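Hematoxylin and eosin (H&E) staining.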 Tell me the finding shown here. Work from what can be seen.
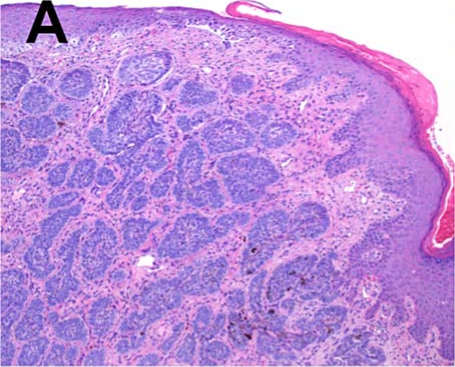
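A layered epidermis with pink keratin covers the surface at the right. Beneath it, many small rounded nests of dark blue cells fill the dermis. The nests are separated by pink fibrous stroma. That points to this answer: neoplasm featuring small nests.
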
